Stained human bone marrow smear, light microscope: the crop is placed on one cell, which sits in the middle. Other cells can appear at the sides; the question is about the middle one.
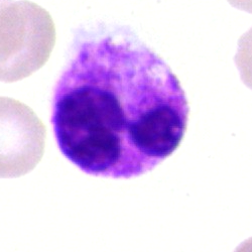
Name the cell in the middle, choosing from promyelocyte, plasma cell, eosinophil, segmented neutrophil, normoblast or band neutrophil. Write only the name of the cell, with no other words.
segmented neutrophil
